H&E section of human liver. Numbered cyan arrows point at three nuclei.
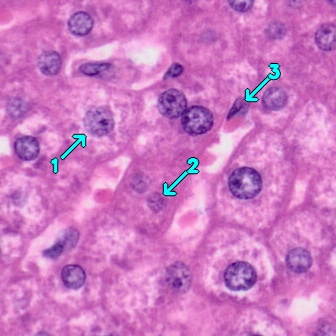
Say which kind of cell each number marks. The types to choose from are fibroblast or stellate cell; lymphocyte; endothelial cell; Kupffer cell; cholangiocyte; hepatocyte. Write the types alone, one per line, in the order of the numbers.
hepatocyte
hepatocyte
endothelial cell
